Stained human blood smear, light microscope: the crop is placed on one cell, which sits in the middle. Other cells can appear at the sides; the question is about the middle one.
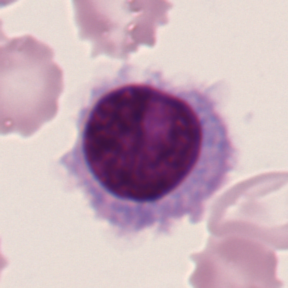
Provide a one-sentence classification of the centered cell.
The cell in the middle of the field of view is a hairy cell.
